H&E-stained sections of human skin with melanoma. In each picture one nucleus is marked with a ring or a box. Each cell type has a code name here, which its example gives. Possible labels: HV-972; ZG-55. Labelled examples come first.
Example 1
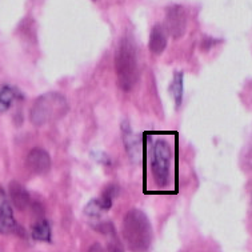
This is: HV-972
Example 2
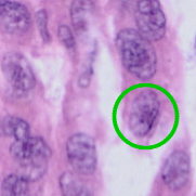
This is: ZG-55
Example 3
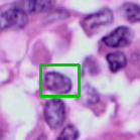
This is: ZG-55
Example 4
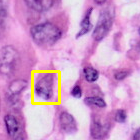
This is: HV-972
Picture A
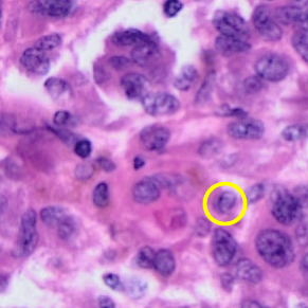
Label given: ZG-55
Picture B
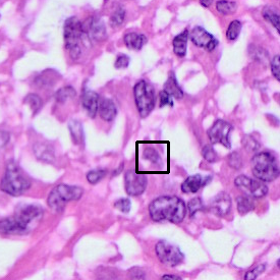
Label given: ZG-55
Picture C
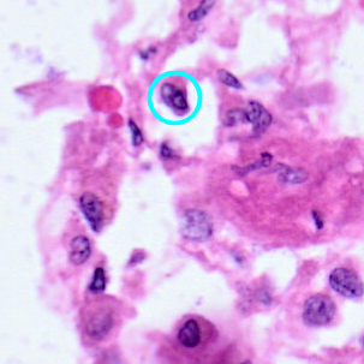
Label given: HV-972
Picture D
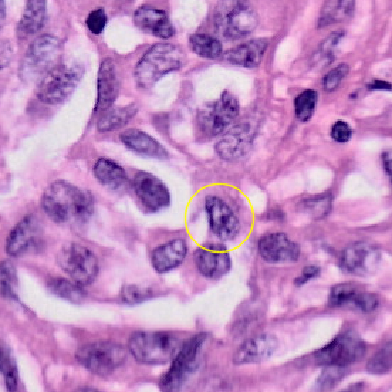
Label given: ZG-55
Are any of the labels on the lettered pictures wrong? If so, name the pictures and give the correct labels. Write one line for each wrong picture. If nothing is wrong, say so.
A: not ZG-55 but HV-972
